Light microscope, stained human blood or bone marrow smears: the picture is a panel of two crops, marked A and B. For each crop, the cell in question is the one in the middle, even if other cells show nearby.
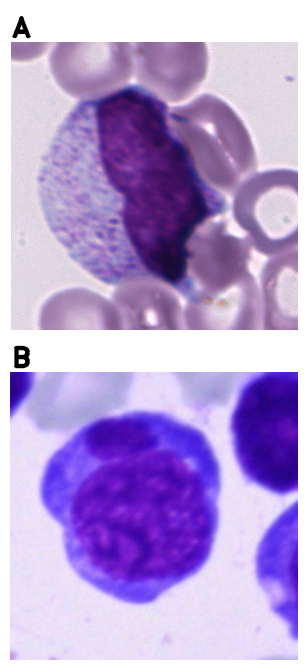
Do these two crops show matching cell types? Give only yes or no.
no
